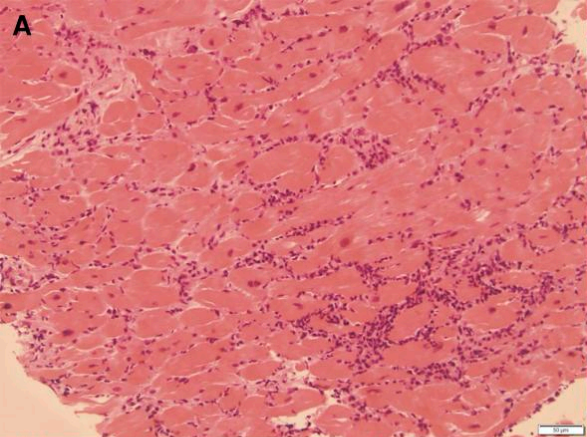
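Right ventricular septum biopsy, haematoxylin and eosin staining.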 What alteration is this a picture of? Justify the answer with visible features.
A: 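Many small round dark-blue nuclei crowd the spaces between the pink muscle fibres. The small round cells form dense clusters and streaks among the fibres. On this evidence: lymphocytic inflammatory infiltrates.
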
